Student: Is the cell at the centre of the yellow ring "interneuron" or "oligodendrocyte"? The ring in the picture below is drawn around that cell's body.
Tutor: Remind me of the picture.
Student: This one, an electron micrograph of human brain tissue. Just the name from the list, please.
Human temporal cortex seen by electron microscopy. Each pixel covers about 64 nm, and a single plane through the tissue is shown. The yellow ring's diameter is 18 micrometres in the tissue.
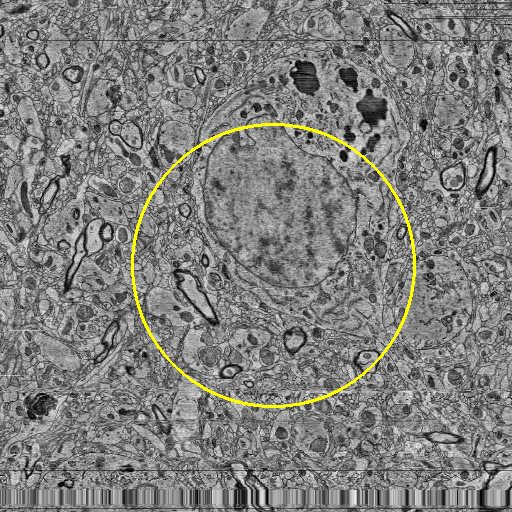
interneuron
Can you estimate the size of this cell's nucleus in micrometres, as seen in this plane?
The nucleus works out at approximately 12 by 10 micrometres in this plane.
